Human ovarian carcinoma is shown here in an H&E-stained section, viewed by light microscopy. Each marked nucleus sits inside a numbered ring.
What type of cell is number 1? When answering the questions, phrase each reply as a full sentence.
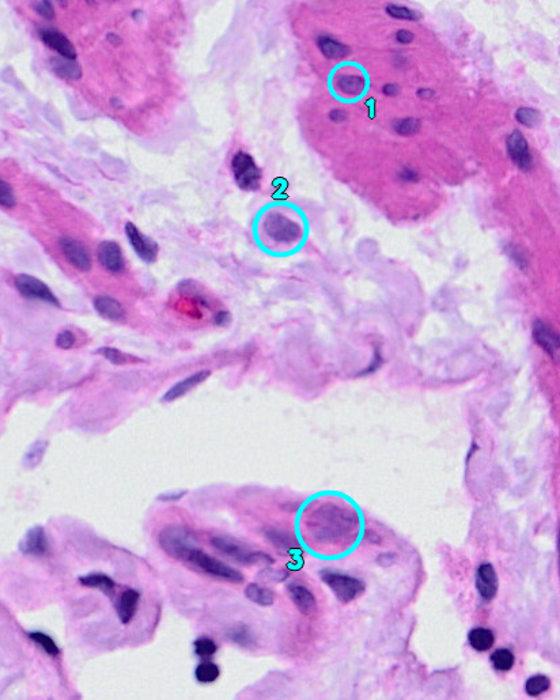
The mark numbered 1 indicates the nucleus of a smooth muscle cell.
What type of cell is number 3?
That cell with number 3 is an endothelial cell.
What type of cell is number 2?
Denoted by the label 2 in the section is a fibroblast.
